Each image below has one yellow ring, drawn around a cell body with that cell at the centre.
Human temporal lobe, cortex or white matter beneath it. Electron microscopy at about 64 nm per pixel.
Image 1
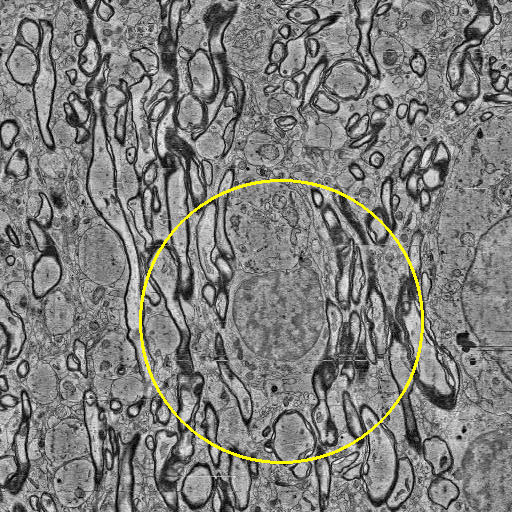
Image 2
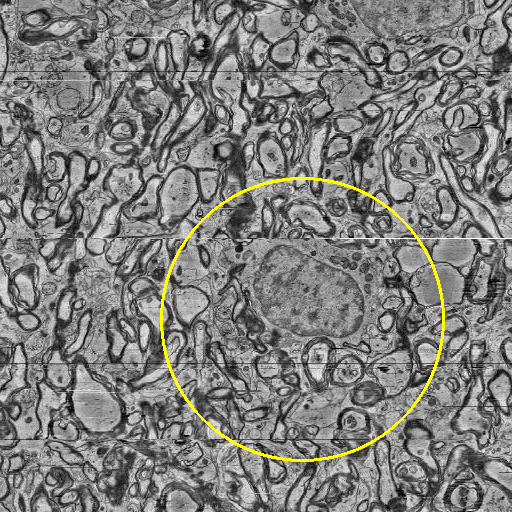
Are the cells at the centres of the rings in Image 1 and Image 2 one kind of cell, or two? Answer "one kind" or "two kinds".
one kind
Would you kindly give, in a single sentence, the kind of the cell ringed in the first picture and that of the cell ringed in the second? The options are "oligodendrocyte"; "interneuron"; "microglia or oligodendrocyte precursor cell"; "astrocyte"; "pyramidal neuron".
Both the first and the second picture show an oligodendrocyte in the ring.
